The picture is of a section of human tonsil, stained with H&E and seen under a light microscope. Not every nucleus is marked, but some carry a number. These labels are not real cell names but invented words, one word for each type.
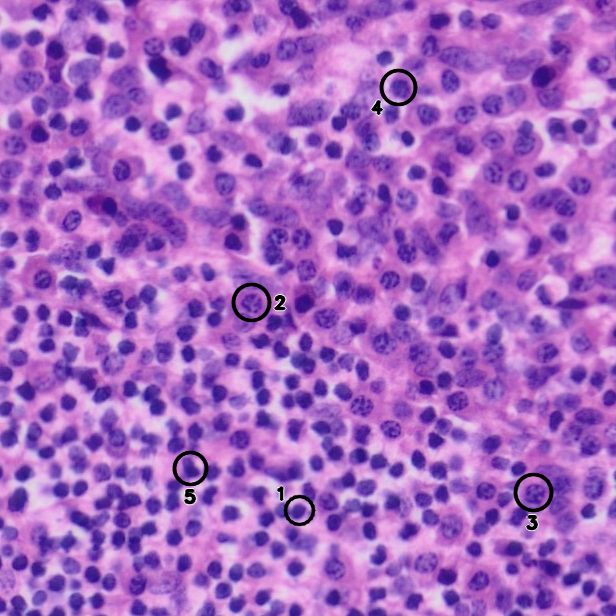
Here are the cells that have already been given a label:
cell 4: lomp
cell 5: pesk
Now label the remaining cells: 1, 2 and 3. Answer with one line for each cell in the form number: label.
1: pesk
2: lomp
3: lomp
